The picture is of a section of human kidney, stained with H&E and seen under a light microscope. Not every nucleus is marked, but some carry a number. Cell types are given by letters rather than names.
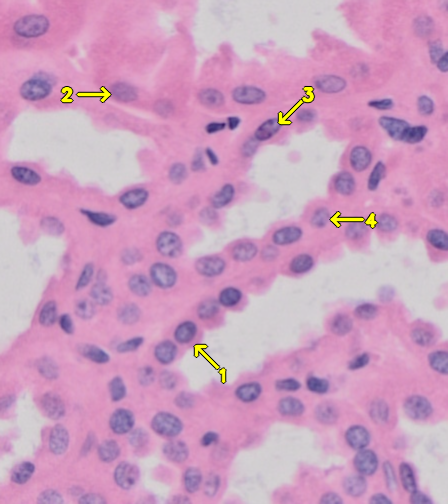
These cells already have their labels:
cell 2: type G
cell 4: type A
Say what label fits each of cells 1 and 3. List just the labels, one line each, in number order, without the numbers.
type A
type A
